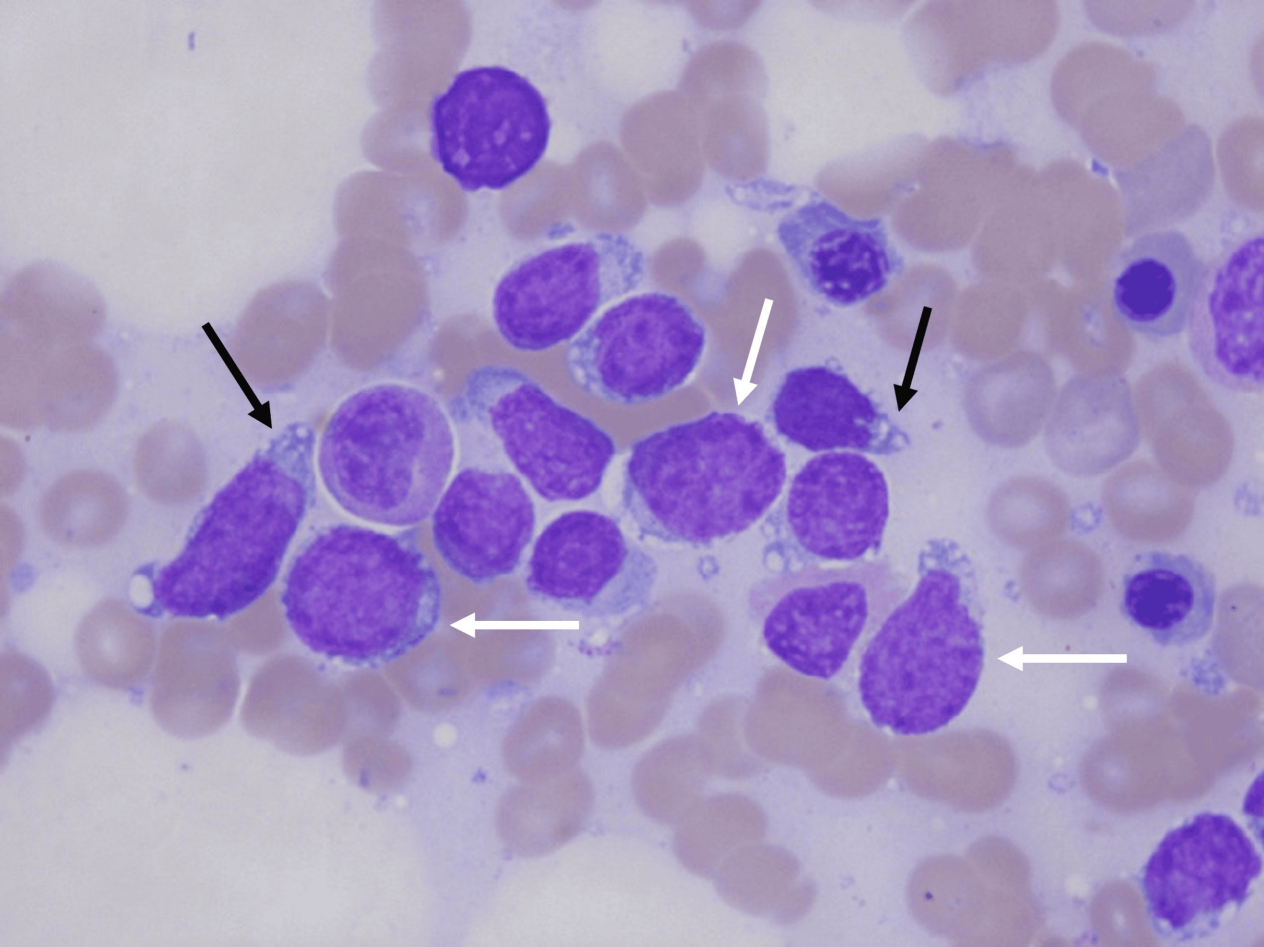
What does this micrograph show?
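A cluster of large blast-like cells lies among pale pink red blood cells in this bone marrow smear. Each of these cells has a round, oval or slightly indented purple nucleus with fine chromatin that fills most of the cell, leaving only a narrow rim of pale blue cytoplasm. Some cells carry small pale blue cytoplasmic projections, or pseudopodia, at one edge. A few smaller cells with dense, dark, compact nuclei lie nearby at the right of the field.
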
